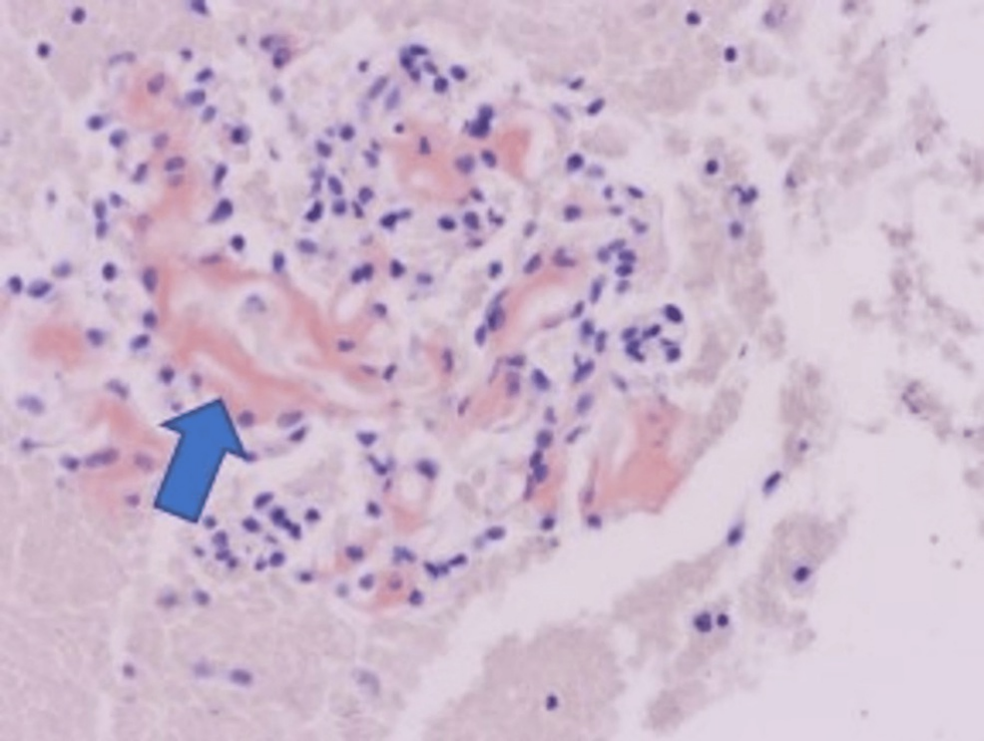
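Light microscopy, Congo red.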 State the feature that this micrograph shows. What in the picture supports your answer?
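Pale tissue surrounds the tuft, with a cleft along its right side.
Hence: glomeruli.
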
